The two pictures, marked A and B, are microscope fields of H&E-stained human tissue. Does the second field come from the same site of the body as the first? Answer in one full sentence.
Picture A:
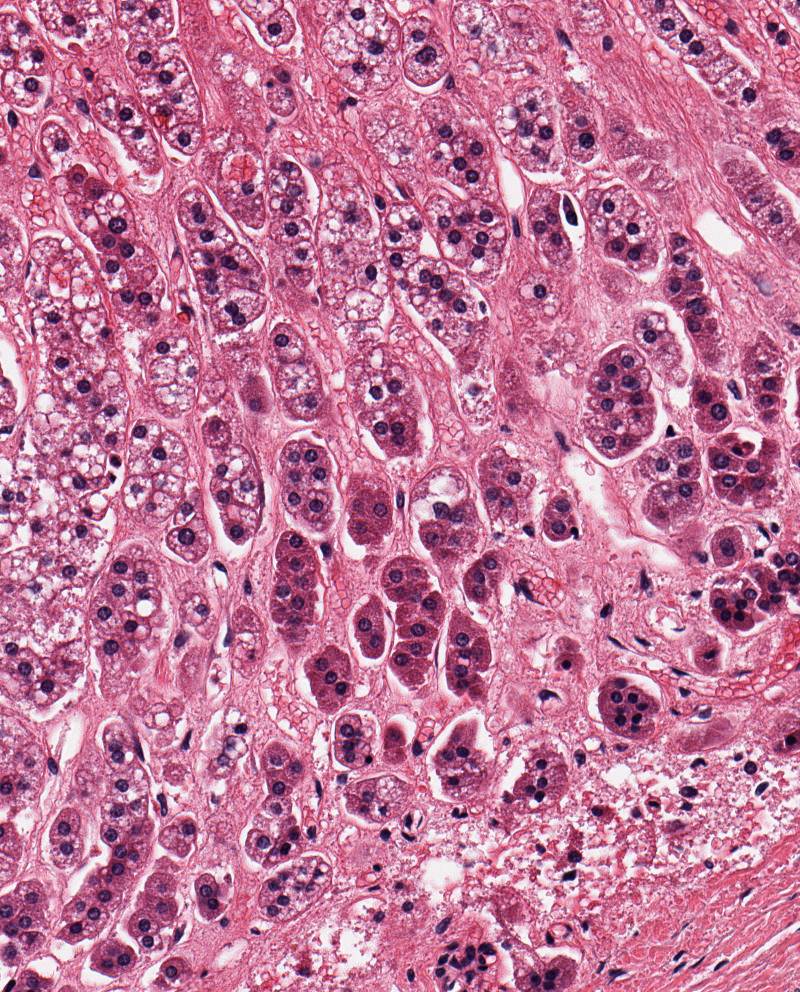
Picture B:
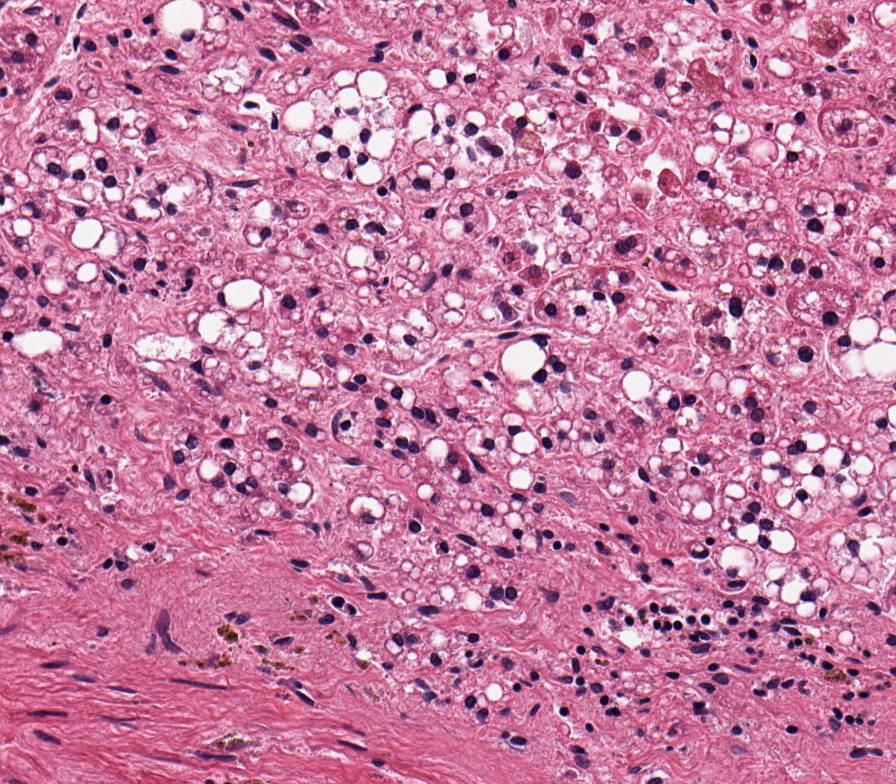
Yes; both pictures come from the adrenal gland.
